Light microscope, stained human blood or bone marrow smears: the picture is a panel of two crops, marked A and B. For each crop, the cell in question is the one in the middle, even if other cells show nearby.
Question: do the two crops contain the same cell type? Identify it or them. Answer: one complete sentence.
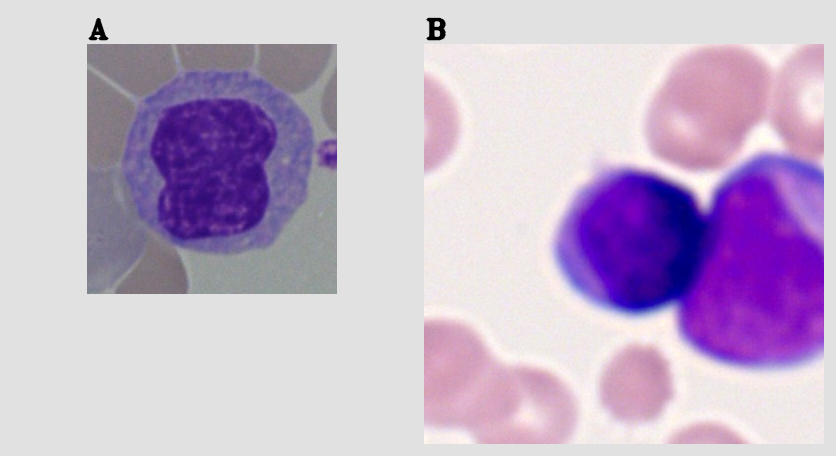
No, crop A matches a monocyte and crop B matches a lymphocyte.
